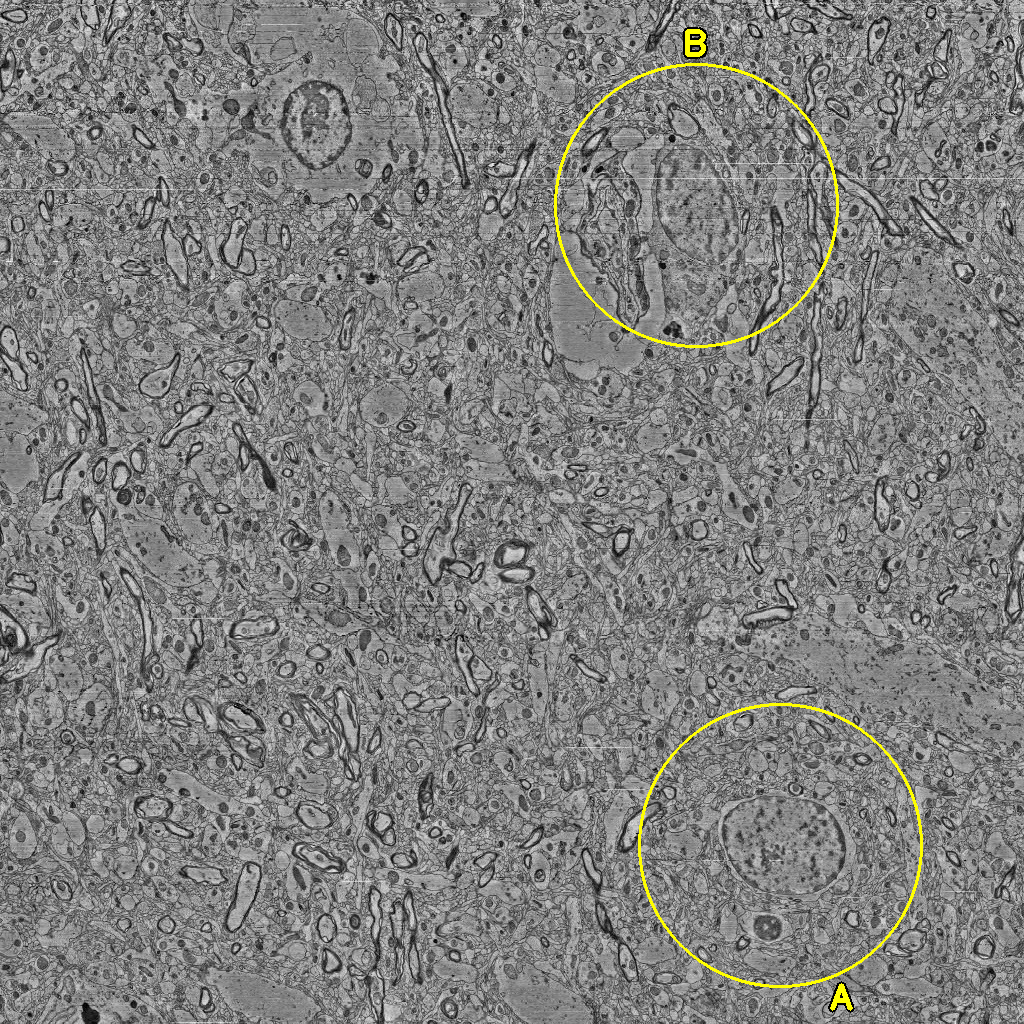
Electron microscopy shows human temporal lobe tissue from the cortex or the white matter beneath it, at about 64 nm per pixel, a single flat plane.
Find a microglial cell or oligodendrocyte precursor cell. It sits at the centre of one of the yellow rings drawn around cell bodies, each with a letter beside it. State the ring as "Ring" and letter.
Ring A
